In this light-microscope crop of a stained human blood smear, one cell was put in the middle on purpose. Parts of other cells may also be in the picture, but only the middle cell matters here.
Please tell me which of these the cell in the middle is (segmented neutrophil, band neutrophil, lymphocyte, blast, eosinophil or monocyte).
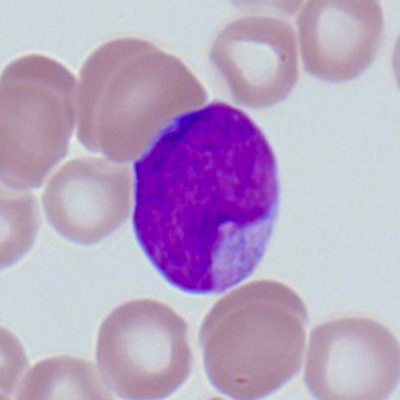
blast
